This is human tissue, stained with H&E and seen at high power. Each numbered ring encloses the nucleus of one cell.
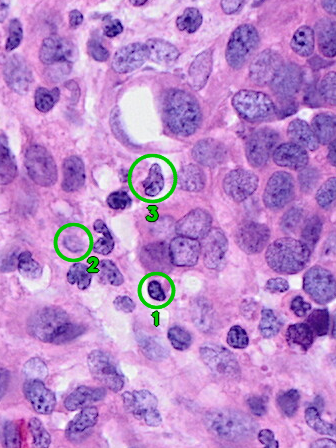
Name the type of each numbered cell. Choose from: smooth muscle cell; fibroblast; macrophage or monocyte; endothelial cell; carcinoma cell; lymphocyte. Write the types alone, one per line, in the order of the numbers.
lymphocyte
macrophage or monocyte
macrophage or monocyte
